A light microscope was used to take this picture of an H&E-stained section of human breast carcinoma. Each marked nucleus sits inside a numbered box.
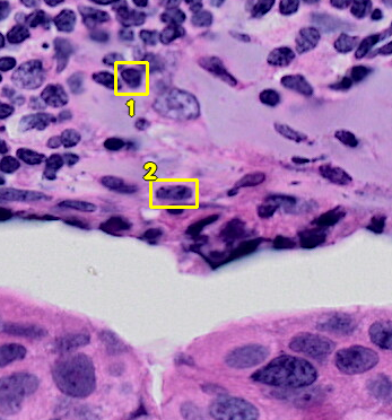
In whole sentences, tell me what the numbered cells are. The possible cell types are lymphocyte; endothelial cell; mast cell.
Cell 1 is a lymphocyte and cell 2 is a mast cell.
